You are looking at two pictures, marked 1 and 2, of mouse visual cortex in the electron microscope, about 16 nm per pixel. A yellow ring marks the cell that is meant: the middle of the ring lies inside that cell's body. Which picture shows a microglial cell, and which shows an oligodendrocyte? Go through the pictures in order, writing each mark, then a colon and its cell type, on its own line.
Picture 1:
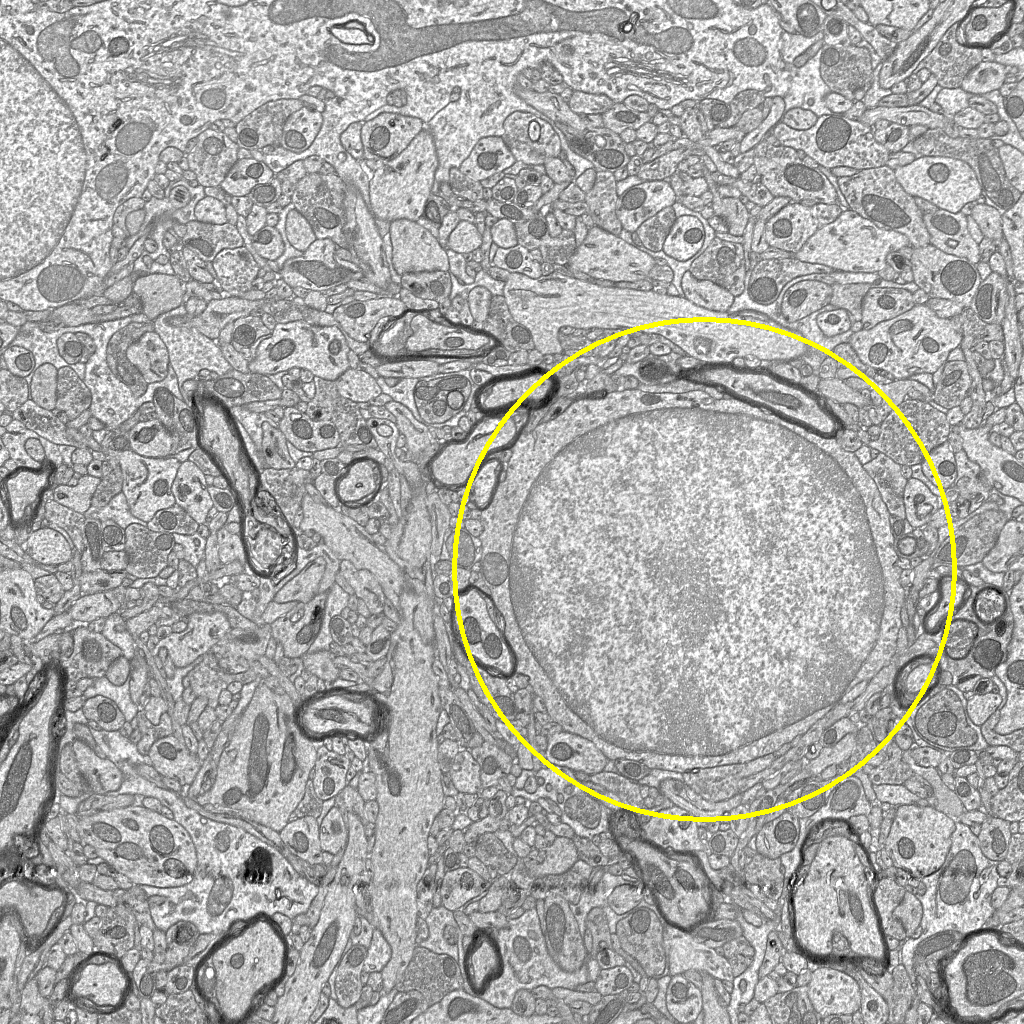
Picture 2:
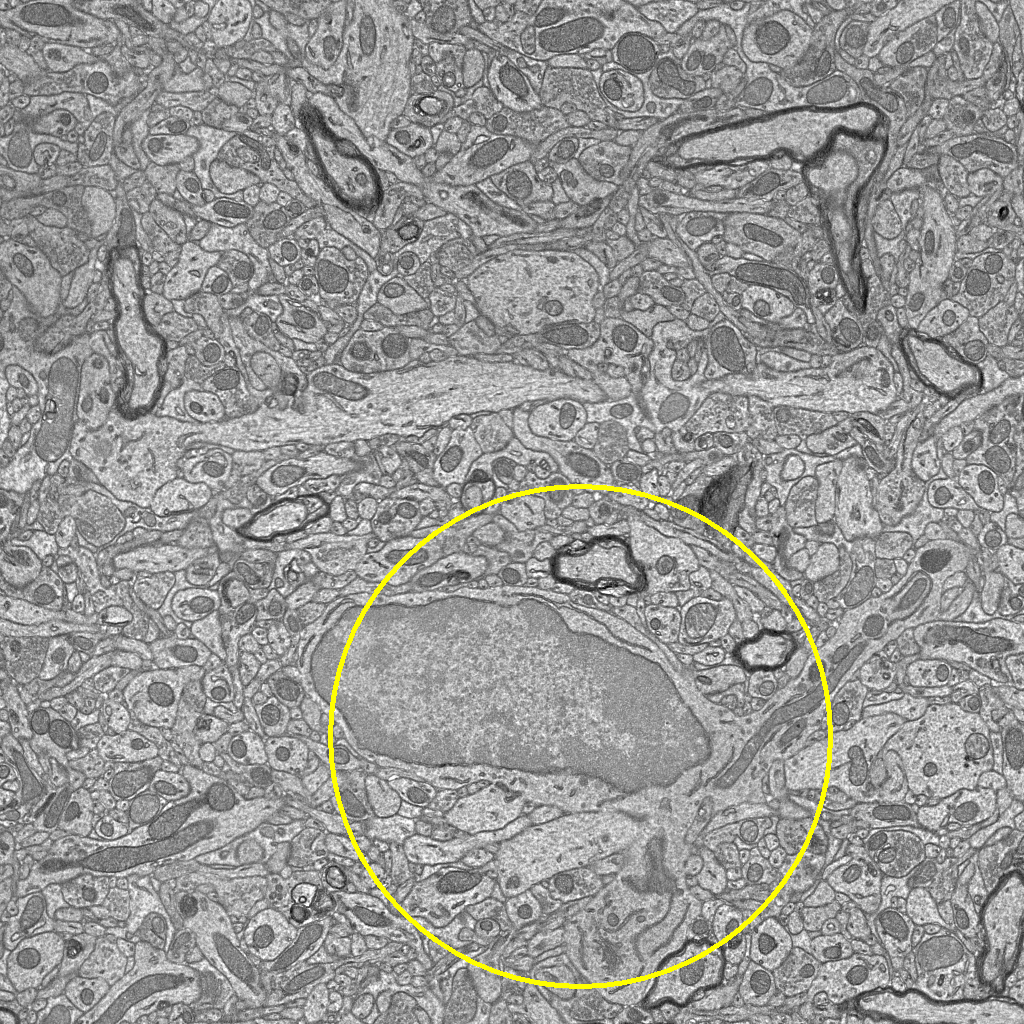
1: oligodendrocyte
2: microglial cell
